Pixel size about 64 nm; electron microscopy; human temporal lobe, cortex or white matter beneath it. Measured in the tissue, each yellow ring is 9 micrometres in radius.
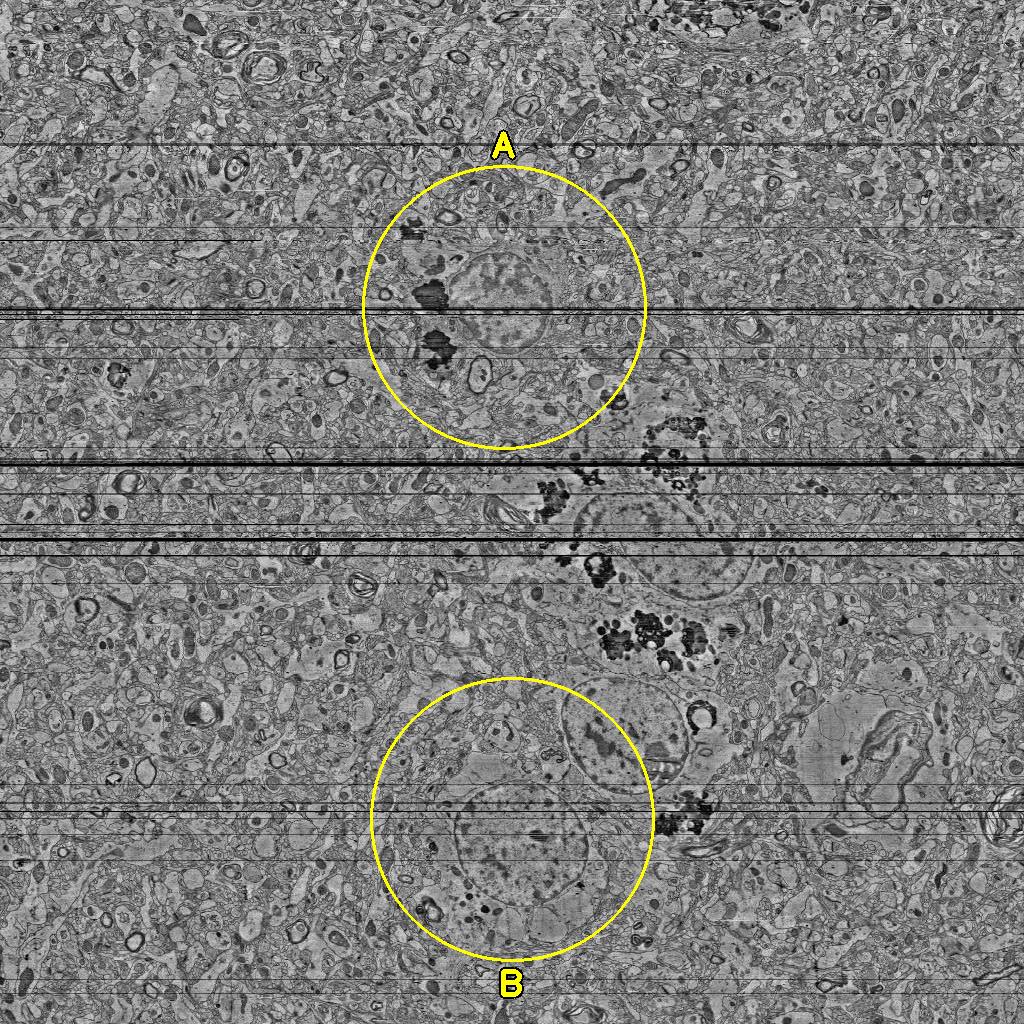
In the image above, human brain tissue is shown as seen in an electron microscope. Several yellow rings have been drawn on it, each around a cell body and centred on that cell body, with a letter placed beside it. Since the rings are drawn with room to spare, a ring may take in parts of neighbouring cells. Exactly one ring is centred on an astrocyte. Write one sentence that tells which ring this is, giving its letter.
The ring marked B is centred on it.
